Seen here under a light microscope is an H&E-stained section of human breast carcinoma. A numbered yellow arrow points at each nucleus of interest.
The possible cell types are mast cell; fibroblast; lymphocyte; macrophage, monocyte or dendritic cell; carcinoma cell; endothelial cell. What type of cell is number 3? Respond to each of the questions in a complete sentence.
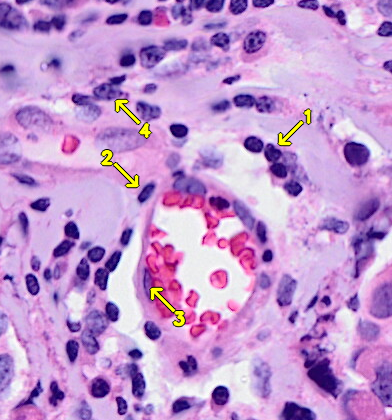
In this section, the cell numbered 3 is an endothelial cell.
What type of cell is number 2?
Within this field of view, the cell labelled 2 is a lymphocyte.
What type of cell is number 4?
To a lymphocyte belongs the nucleus marked 4.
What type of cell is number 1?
The cell indicated by marker 1 is a lymphocyte in this section.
